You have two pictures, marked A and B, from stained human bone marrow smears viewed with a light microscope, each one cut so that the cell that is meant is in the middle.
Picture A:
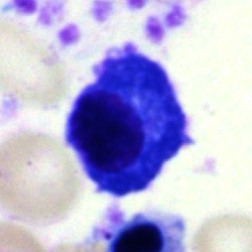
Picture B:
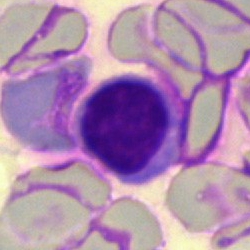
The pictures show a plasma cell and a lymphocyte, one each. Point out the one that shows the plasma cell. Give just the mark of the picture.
A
